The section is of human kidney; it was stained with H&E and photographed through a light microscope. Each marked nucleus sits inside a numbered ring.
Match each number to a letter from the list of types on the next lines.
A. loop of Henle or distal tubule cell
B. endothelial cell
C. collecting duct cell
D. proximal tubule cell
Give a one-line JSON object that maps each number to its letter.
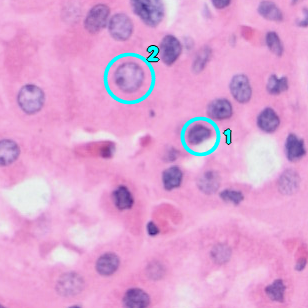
{"1": "A", "2": "D"}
